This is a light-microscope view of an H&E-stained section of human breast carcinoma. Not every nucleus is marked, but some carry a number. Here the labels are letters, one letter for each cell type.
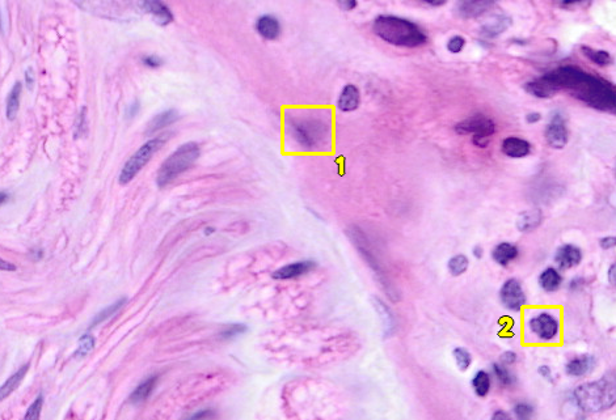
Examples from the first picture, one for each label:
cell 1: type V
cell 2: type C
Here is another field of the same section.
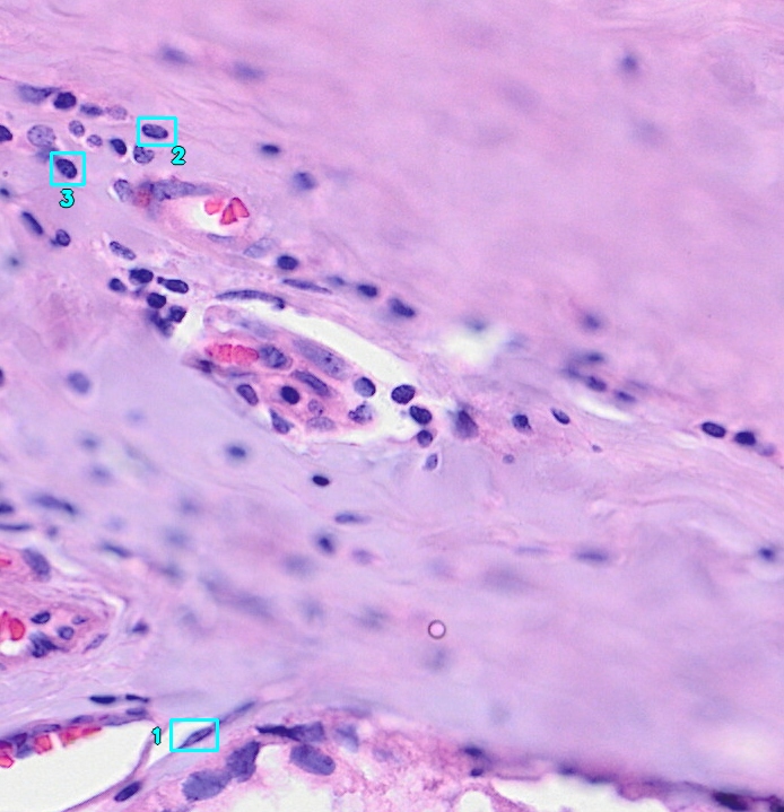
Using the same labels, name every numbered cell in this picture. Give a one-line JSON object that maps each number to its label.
{"1": "type V", "2": "type C", "3": "type C"}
